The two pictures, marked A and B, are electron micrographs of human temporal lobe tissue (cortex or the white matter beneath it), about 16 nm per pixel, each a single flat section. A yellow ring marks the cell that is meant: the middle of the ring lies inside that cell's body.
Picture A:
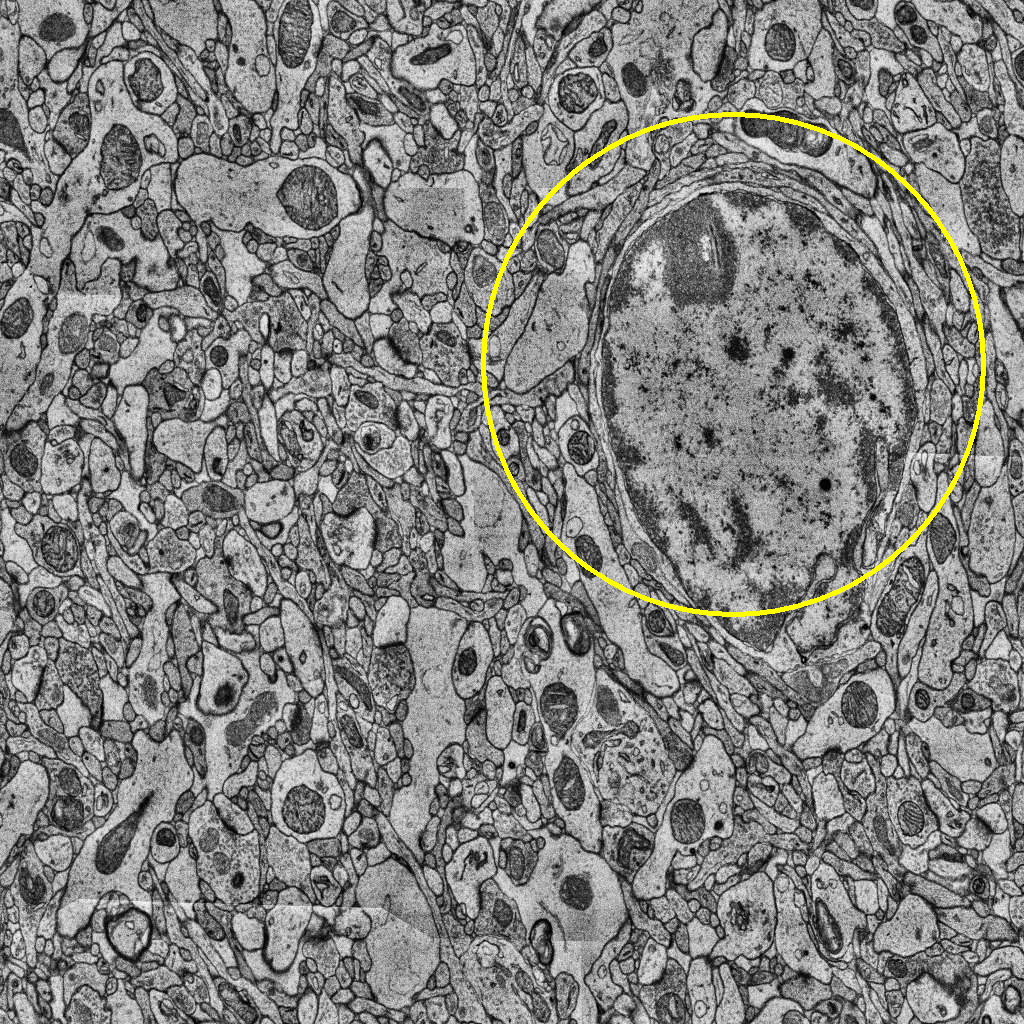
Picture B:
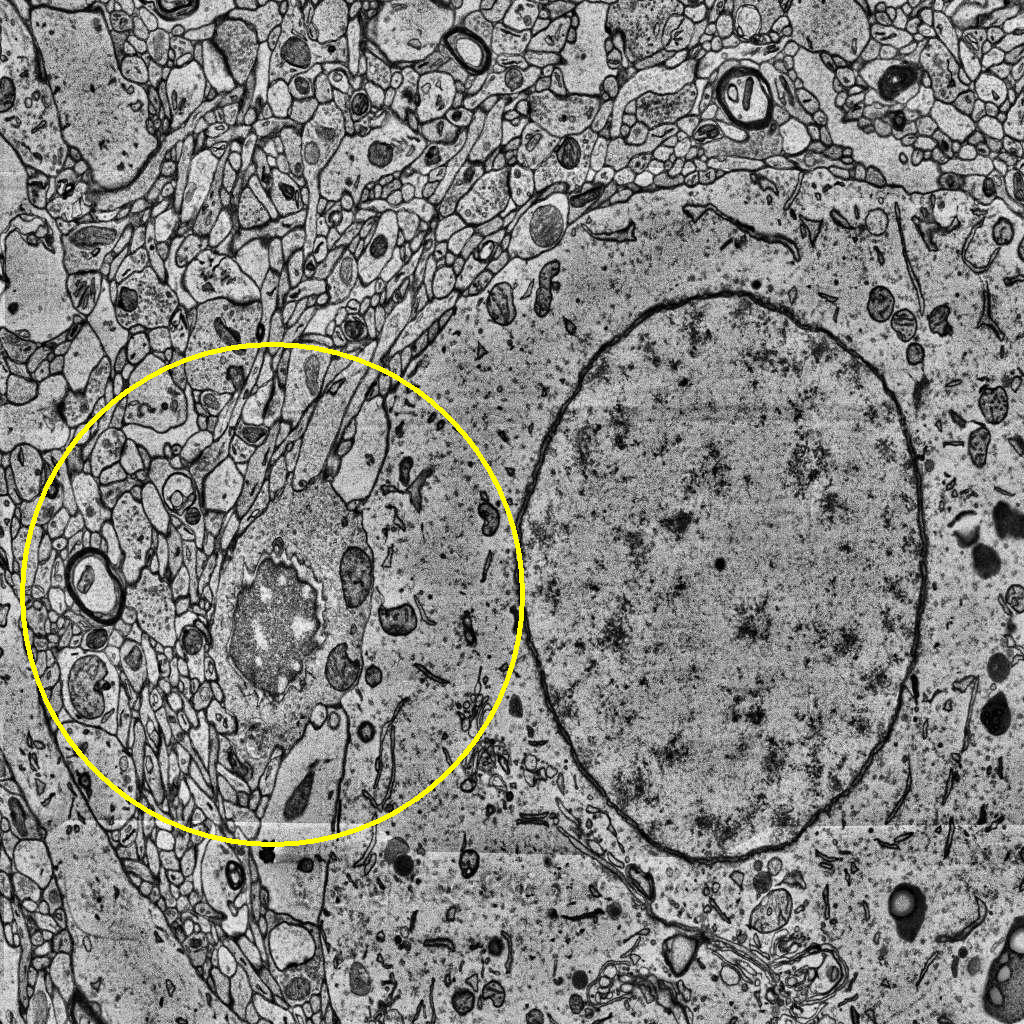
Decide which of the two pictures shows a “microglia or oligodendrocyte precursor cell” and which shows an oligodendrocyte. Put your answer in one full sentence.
It is picture A that shows a “microglia or oligodendrocyte precursor cell”, and picture B that shows an oligodendrocyte.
